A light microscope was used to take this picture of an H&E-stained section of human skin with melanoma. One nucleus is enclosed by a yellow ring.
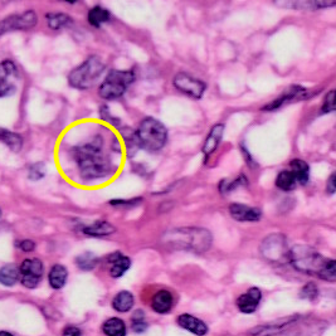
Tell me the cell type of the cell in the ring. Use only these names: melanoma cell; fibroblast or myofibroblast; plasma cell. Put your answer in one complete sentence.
Assigned to a cell type, the cell in the ring is a melanoma cell.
